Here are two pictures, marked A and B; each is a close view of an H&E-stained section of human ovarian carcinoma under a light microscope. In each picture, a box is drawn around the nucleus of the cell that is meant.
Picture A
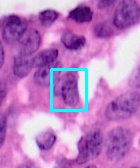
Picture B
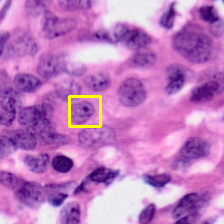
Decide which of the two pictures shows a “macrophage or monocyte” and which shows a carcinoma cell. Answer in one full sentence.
In picture A the cell is a carcinoma cell; in picture B, a “macrophage or monocyte”.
